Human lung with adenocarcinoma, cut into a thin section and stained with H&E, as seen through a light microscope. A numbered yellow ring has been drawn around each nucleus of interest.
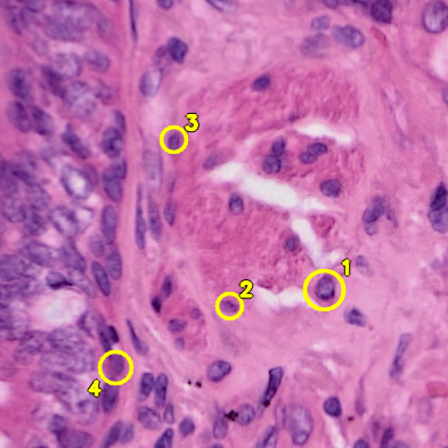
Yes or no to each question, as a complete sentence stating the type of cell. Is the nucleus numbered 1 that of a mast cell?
Yes, the cell with the number 1 is a mast cell.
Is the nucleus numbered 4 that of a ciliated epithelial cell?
Yes, it is a ciliated epithelial cell that number 4 identifies.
